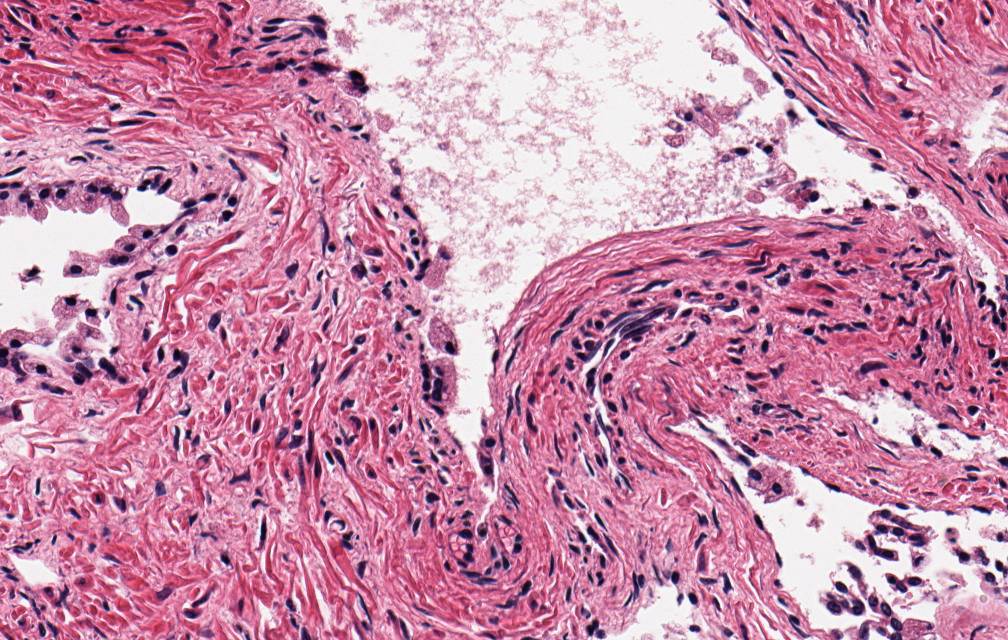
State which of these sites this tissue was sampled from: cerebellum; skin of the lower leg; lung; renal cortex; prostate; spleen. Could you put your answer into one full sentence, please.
This specimen was obtained from the prostate.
